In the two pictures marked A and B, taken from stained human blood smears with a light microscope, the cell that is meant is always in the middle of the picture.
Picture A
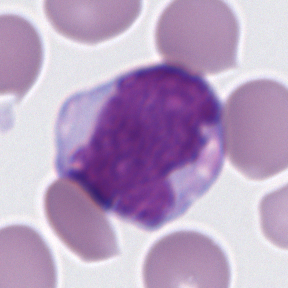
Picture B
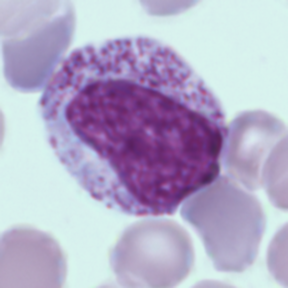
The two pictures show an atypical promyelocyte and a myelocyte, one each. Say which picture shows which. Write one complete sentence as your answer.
Picture B shows a myelocyte, while picture A shows an atypical promyelocyte.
